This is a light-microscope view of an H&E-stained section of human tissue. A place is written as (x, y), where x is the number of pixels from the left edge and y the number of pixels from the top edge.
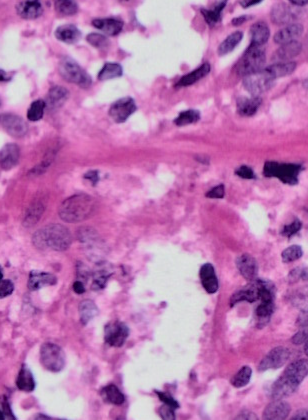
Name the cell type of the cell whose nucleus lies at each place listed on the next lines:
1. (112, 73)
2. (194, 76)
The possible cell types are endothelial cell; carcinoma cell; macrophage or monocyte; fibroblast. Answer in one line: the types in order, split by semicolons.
carcinoma cell; macrophage or monocyte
